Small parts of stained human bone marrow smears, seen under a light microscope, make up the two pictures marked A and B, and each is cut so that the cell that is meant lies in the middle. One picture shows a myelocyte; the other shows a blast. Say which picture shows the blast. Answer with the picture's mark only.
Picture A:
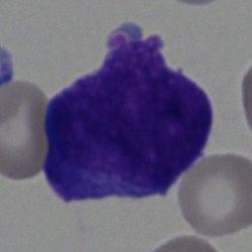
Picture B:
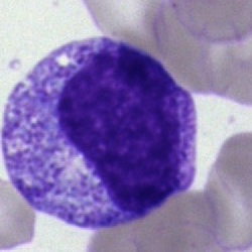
A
